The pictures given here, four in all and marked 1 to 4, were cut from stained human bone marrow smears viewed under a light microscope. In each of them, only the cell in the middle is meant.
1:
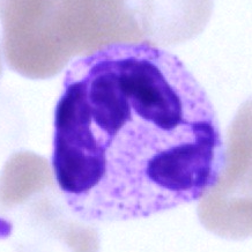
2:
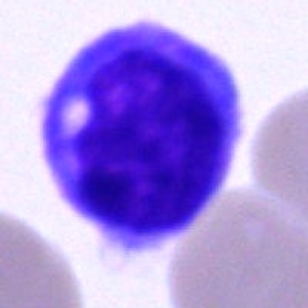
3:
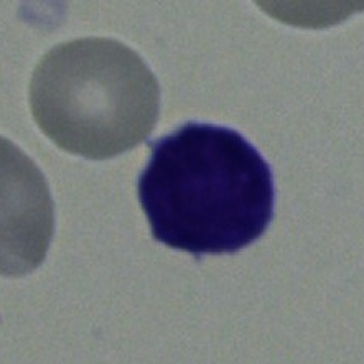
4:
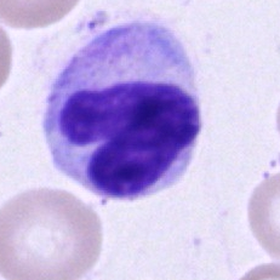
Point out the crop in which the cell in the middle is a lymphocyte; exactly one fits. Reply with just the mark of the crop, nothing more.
3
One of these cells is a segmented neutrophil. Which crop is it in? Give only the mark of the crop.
1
